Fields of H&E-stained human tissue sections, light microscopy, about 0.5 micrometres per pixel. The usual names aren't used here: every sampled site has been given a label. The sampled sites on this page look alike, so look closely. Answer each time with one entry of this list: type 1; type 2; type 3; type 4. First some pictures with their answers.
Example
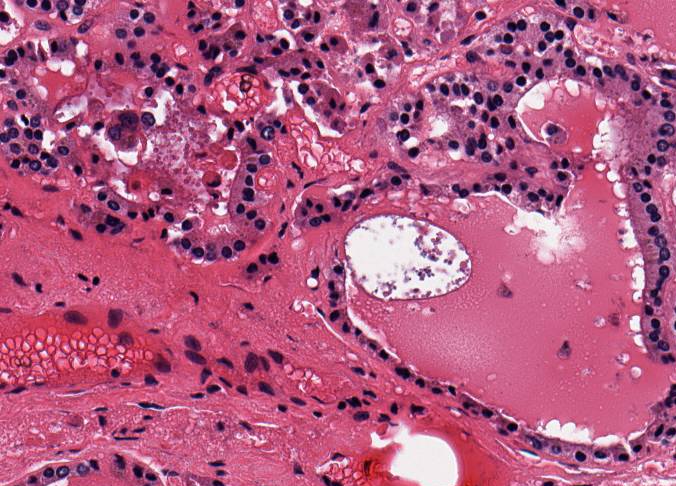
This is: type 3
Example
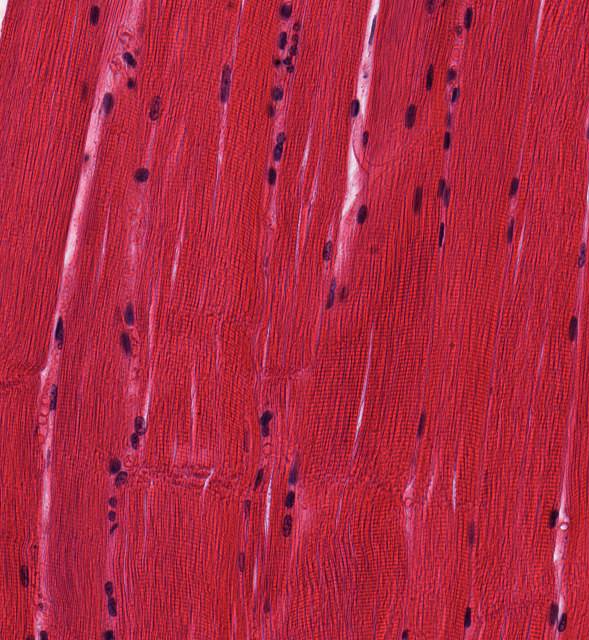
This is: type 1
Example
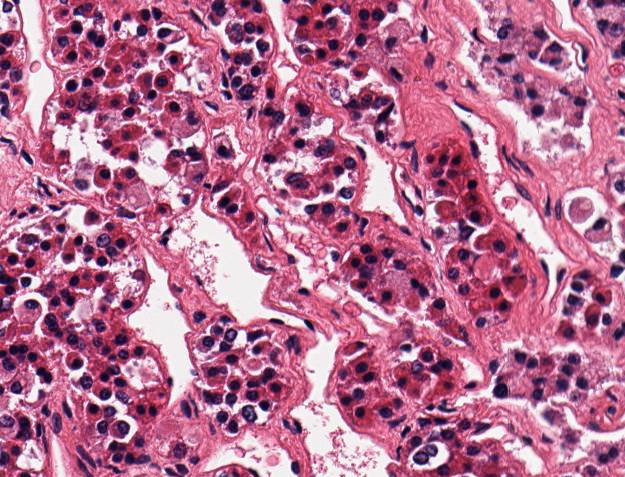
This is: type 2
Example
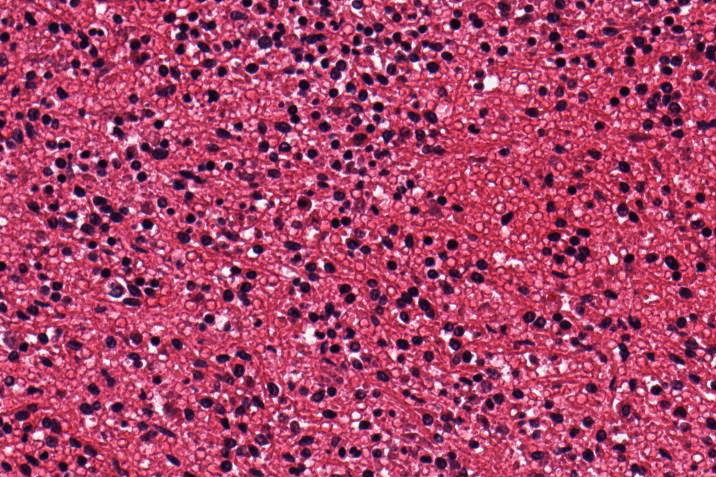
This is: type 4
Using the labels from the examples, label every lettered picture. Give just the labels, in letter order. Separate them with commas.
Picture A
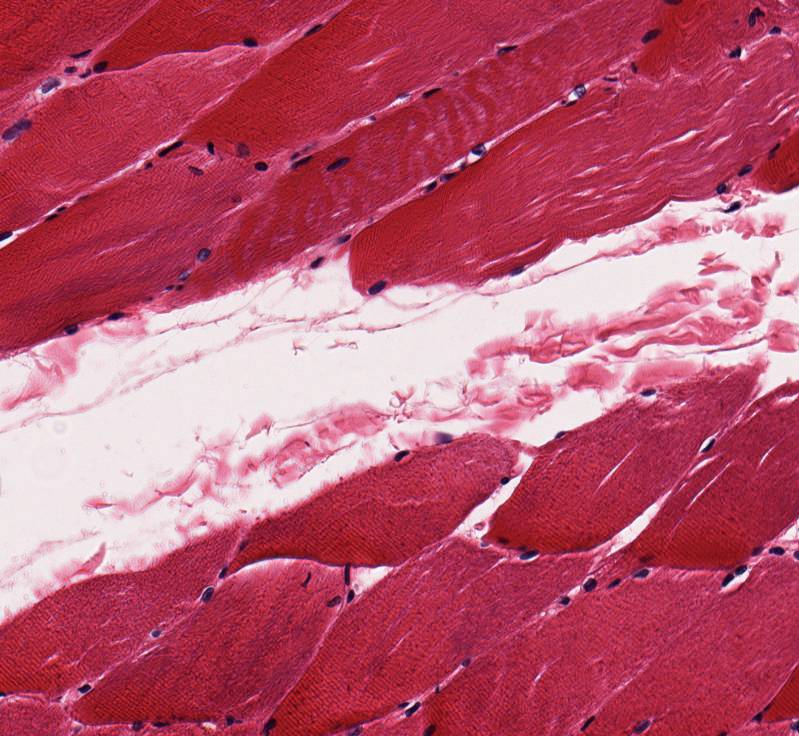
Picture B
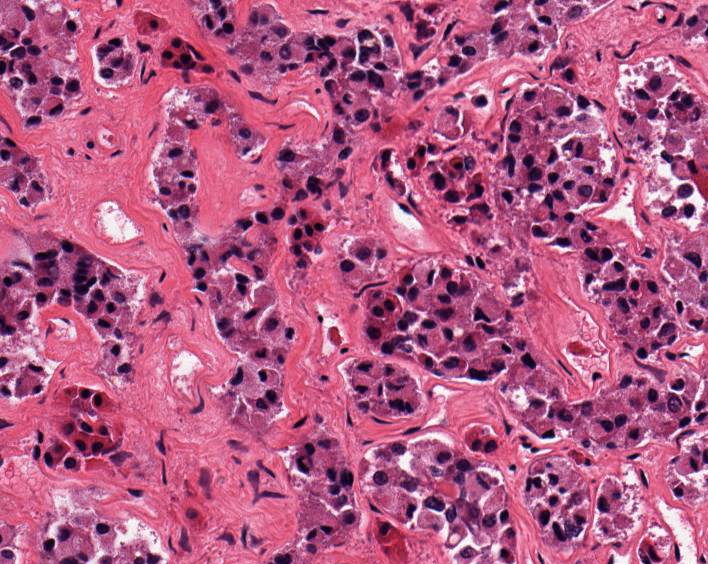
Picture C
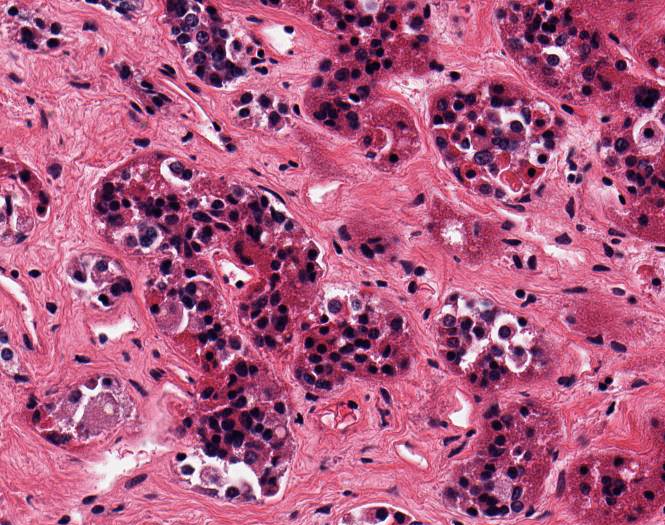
type 1, type 2, type 2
